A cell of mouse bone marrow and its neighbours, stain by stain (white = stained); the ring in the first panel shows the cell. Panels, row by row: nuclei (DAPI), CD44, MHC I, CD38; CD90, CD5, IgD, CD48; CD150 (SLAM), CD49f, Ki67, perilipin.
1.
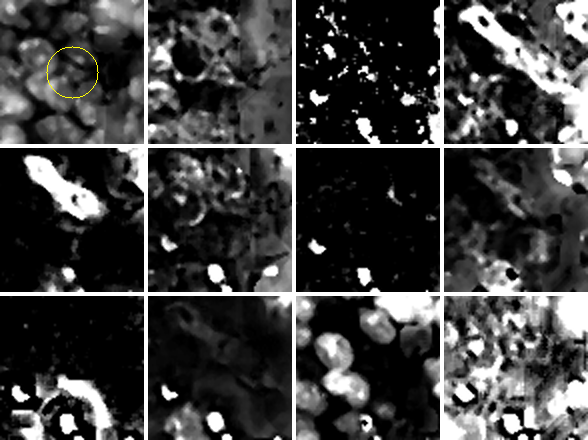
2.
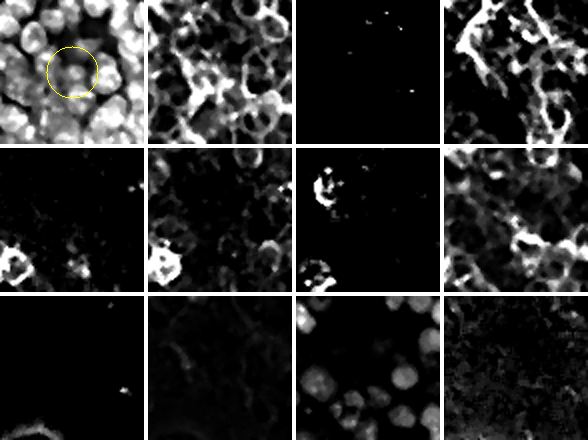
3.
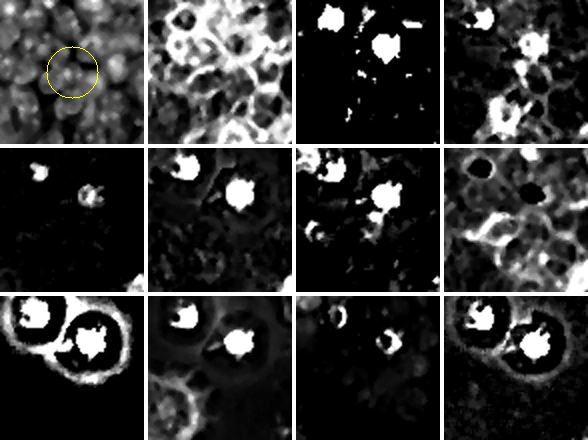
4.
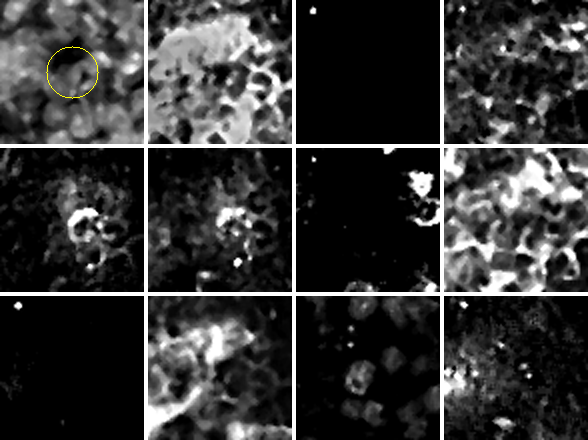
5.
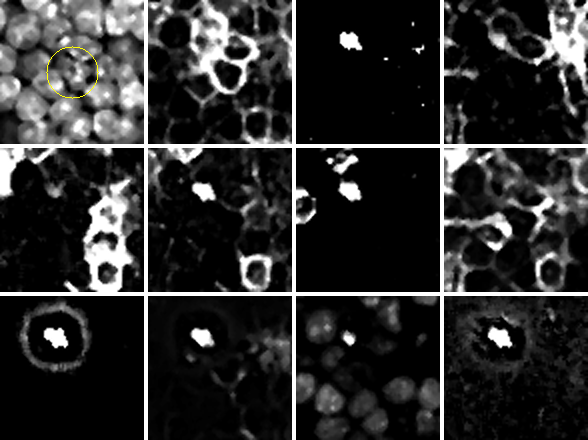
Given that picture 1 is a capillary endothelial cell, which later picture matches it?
2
